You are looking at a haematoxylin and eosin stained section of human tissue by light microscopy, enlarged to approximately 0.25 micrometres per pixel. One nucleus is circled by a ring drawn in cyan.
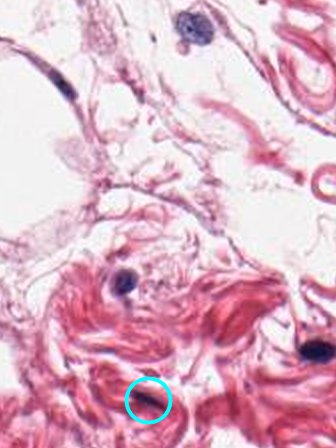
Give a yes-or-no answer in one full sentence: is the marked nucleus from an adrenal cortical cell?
No, the marked nucleus is held by a supporting cell and not by an adrenal cortical cell.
